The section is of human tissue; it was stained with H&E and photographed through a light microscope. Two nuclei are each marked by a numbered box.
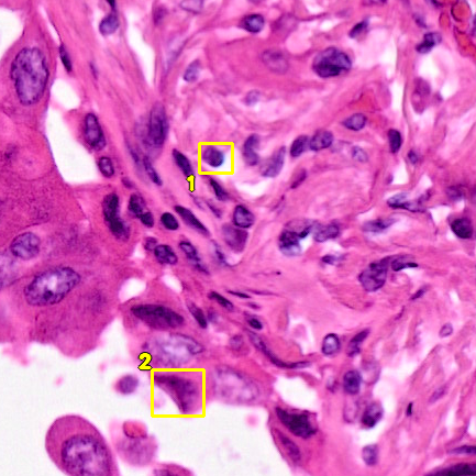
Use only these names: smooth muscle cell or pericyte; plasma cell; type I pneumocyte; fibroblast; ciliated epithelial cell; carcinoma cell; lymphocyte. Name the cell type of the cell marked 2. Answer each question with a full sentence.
The cell that goes by number 2 is a carcinoma cell.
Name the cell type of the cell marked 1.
Heads up, the cell numbered 1 is a lymphocyte.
